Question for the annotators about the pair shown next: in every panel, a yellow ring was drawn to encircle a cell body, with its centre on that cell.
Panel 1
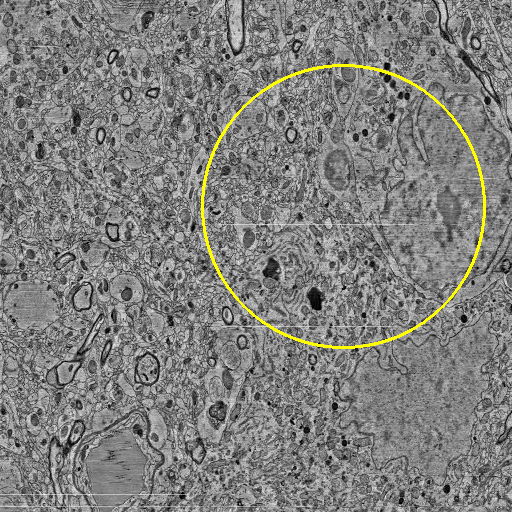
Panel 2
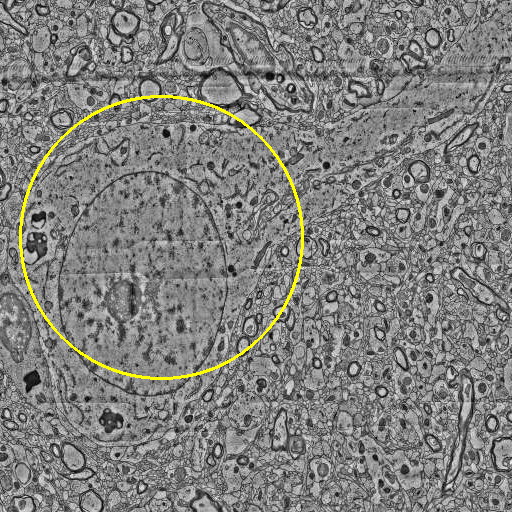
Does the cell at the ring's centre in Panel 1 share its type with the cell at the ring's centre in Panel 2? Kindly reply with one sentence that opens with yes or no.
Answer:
No, in Panels 1 and 2 the cells at the ring centres belong to separate types.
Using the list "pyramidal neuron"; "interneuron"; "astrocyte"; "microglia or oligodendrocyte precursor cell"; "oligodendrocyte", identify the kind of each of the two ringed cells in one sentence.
The first is an oligodendrocyte and the second is a pyramidal neuron.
